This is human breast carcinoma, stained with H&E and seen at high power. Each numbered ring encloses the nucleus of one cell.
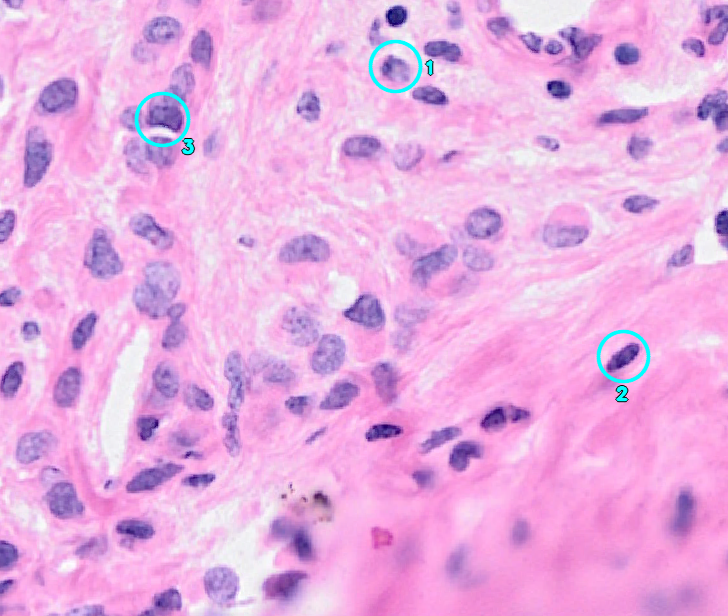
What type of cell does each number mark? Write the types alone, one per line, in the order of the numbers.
lymphocyte
lymphocyte
carcinoma cell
